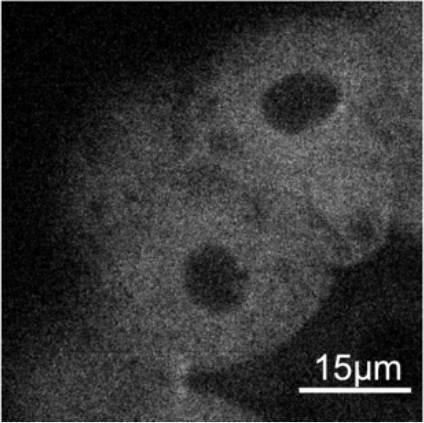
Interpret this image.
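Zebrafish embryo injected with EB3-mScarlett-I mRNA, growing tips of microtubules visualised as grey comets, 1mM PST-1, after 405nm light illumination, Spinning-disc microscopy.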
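The cytoplasm appears as a uniform, finely grainy grey haze. Dark oval regions, most likely the nuclei, stand out clearly against this haze. Cell borders are only faintly visible, and no bright dashes or radiating arrays can be made out.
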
